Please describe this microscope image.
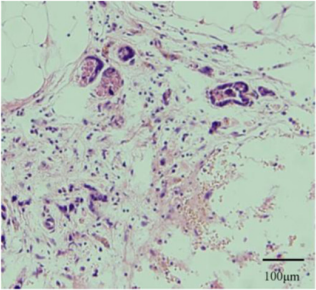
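Loose connective and fatty tissue with small, separate clusters of isolated cancer cells, some forming tiny gland-like rings with dark, crowded purple nuclei. Empty round fat cells lie at the top, and scattered stromal nuclei and red blood cells fill the pale pink stroma around the clusters.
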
